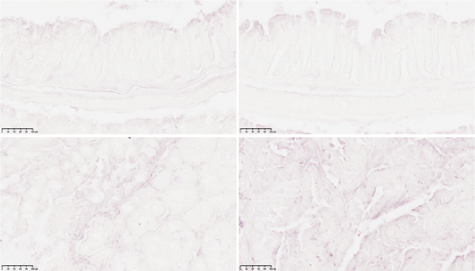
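The upper two images show colon mucosa with regular, parallel crypts above a thin muscular wall, with faint purple stain mostly along the luminal surface. The lower two images have lost this regular crypt arrangement and instead show crowded, irregular glandular structures with scattered purple-stained cells between them, consistent with cancerous tissue.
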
